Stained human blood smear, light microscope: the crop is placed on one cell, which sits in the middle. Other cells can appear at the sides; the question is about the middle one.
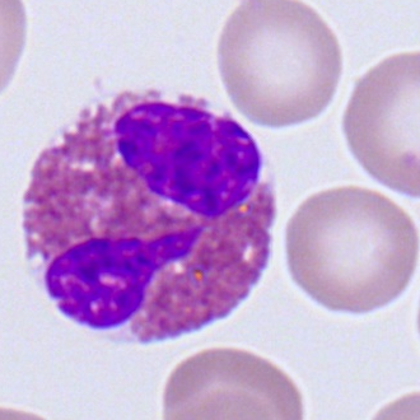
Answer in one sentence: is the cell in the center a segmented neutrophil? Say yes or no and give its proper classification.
No, the label for the central cell is an eosinophil, not a segmented neutrophil.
